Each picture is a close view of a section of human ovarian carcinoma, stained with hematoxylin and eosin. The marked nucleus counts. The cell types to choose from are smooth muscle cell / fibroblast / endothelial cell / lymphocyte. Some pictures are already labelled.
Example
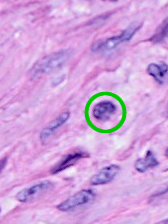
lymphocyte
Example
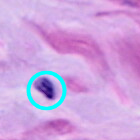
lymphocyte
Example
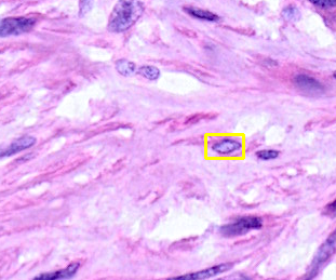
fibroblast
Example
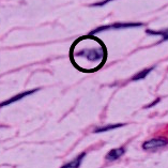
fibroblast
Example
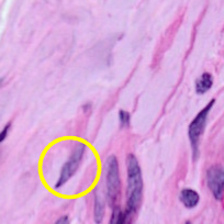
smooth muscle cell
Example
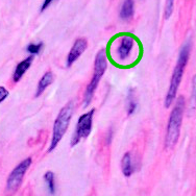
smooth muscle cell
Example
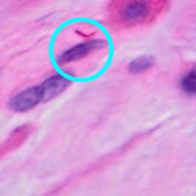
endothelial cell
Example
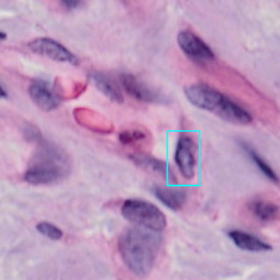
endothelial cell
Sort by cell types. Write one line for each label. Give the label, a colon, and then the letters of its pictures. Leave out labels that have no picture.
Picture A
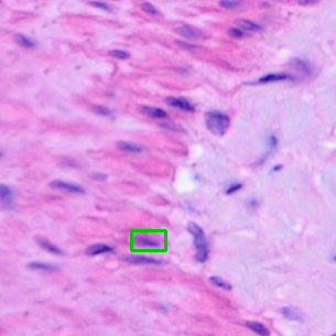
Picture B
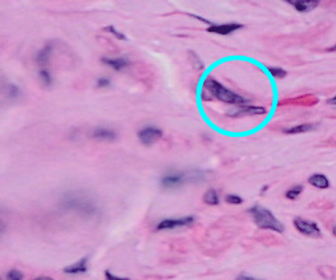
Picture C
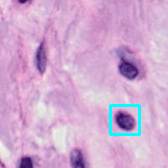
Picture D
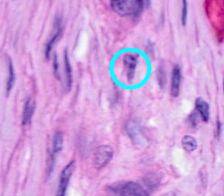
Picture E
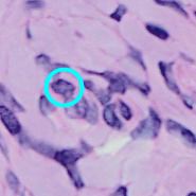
smooth muscle cell: A
fibroblast: D
endothelial cell: B, E
lymphocyte: C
